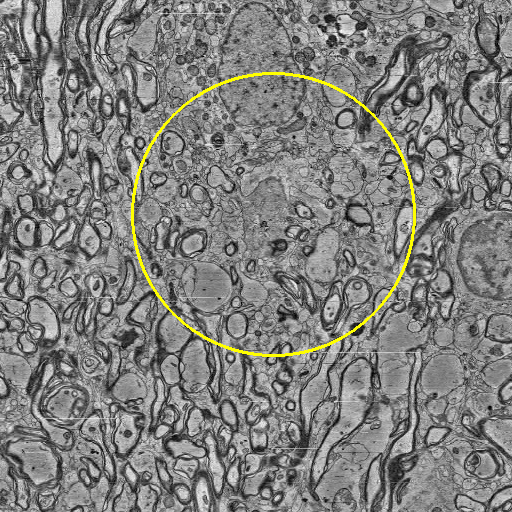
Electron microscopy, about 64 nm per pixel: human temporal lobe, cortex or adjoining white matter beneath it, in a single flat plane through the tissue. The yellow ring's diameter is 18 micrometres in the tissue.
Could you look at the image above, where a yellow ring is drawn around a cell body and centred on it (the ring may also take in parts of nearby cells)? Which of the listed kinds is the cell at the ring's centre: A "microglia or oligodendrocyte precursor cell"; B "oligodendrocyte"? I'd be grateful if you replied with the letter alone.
B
